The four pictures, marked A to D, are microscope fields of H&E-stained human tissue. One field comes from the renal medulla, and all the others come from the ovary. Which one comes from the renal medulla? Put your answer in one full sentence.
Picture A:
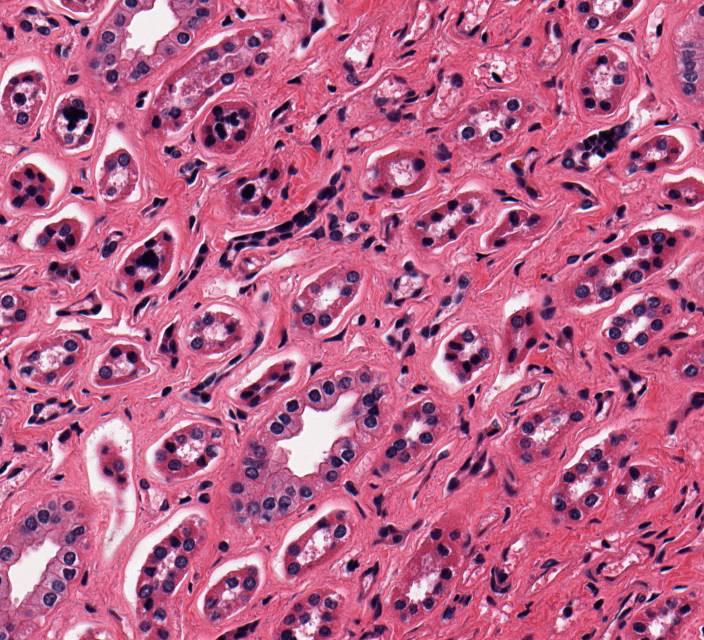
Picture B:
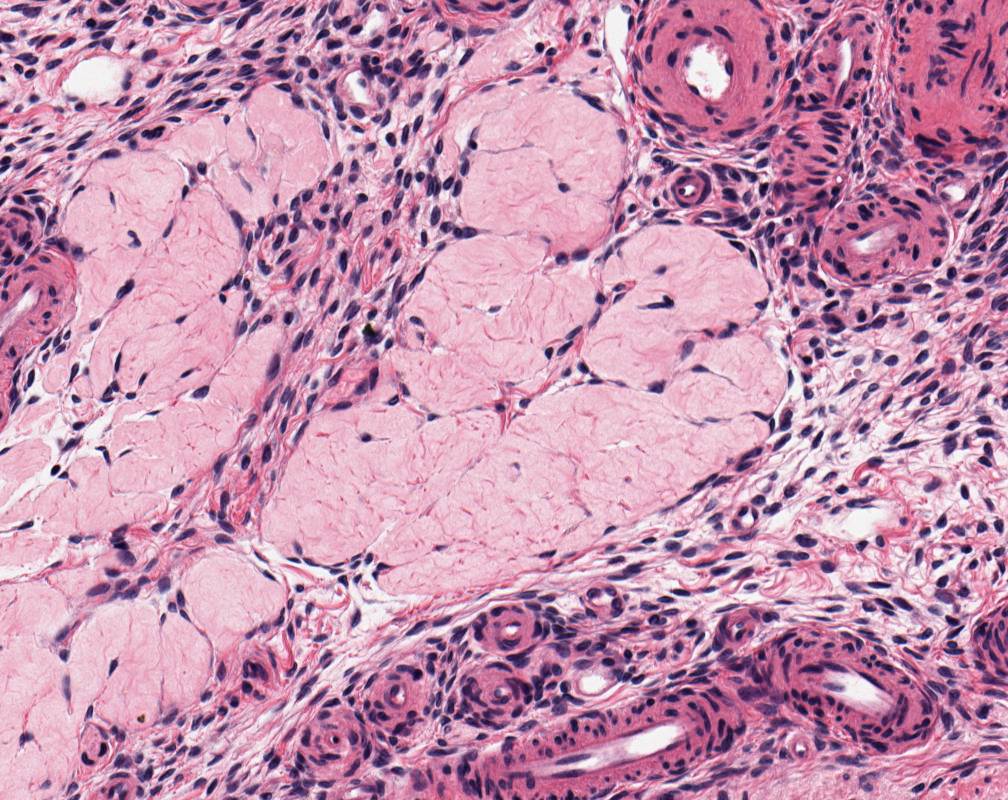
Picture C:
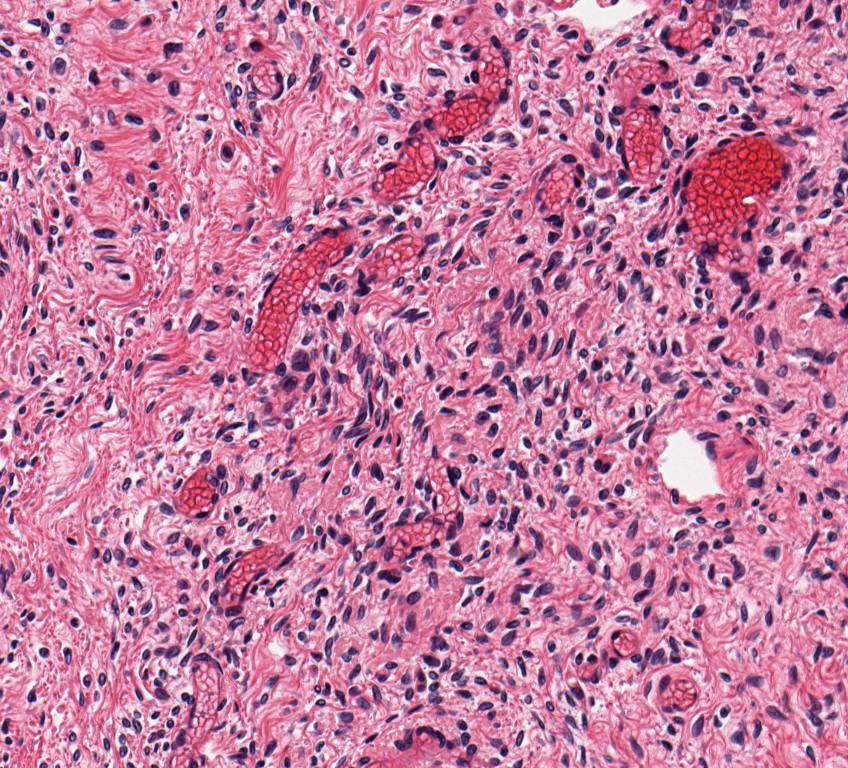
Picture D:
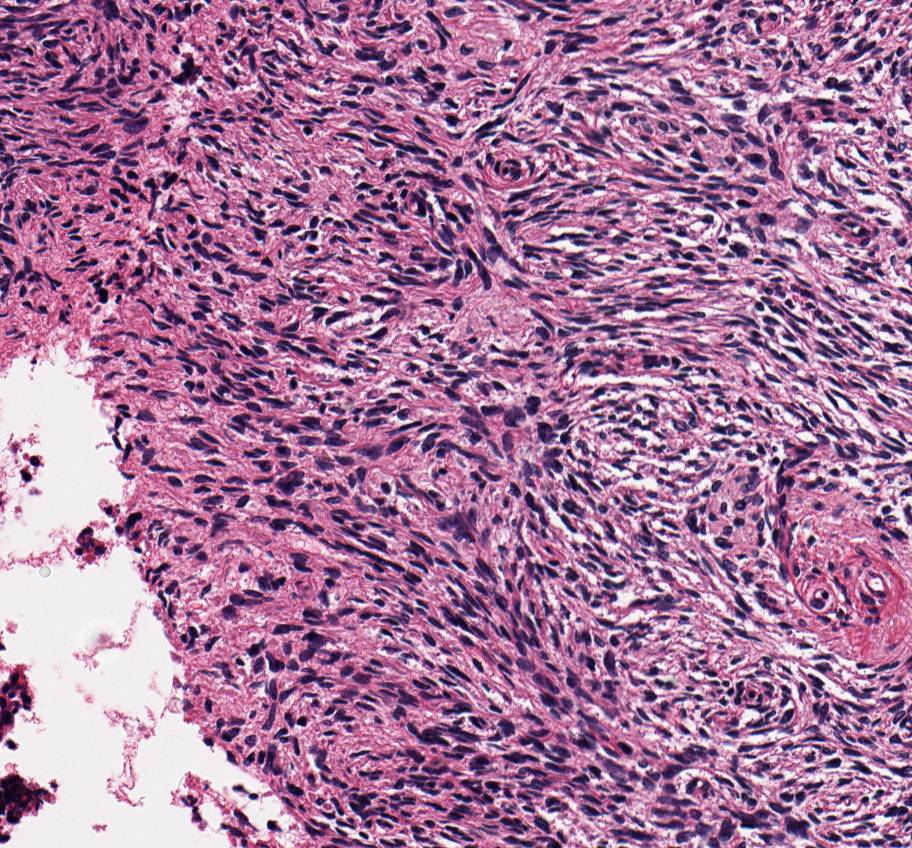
Picture A comes from the renal medulla.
